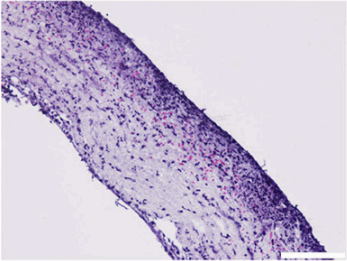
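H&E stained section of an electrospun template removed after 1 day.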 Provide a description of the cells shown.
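The dark purple nuclei are crowded densely along one edge of the band and grow sparser towards the other side. Scattered small pink bodies lie among the cells.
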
